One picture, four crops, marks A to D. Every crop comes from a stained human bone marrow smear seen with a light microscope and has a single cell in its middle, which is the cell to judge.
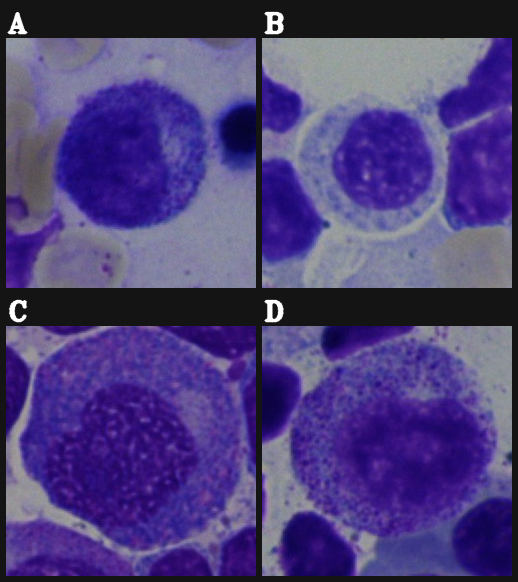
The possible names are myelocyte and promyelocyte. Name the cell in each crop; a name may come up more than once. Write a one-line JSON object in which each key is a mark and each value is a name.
{"A": "myelocyte", "B": "myelocyte", "C": "promyelocyte", "D": "promyelocyte"}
